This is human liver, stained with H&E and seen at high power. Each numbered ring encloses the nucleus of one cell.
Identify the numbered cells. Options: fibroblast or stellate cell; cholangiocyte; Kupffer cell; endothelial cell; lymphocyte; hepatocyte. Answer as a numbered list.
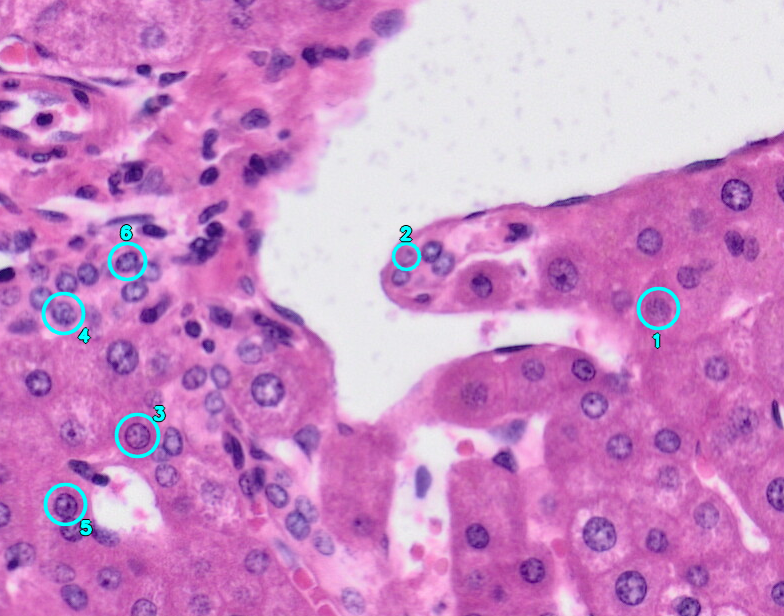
1. hepatocyte
2. cholangiocyte
3. hepatocyte
4. cholangiocyte
5. hepatocyte
6. cholangiocyte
